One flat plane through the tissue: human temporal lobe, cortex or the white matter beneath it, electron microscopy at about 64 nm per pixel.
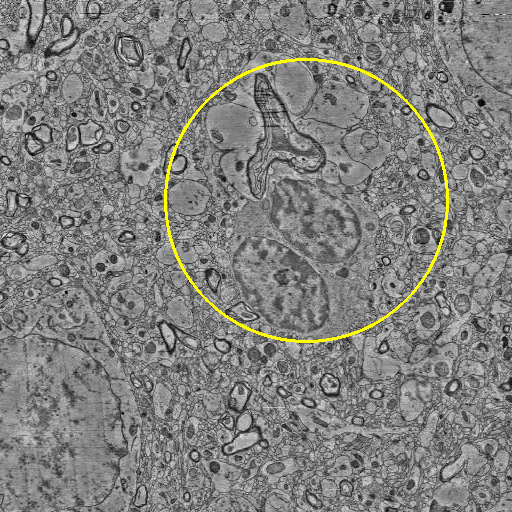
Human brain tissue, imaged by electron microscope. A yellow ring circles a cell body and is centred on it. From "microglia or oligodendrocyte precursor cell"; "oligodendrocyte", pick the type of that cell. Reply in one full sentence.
The cell body at the centre of the yellow ring belongs to an oligodendrocyte.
